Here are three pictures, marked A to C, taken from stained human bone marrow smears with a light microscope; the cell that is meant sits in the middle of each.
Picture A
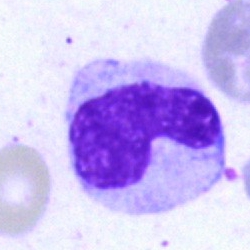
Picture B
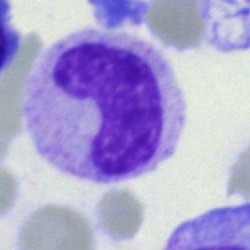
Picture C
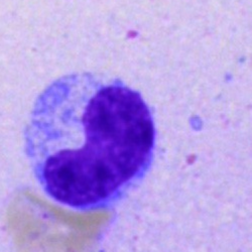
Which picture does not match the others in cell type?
C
